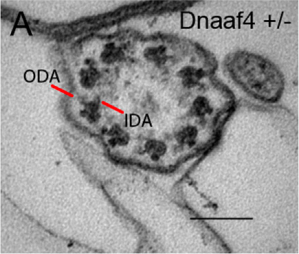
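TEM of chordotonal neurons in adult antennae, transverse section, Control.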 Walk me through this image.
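The middle of the ring is filled with grey, granular material without a central pair of microtubules. A smaller round membrane-bounded profile lies beside the cilium at upper right, and pale surrounding tissue fills the rest of the field.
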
